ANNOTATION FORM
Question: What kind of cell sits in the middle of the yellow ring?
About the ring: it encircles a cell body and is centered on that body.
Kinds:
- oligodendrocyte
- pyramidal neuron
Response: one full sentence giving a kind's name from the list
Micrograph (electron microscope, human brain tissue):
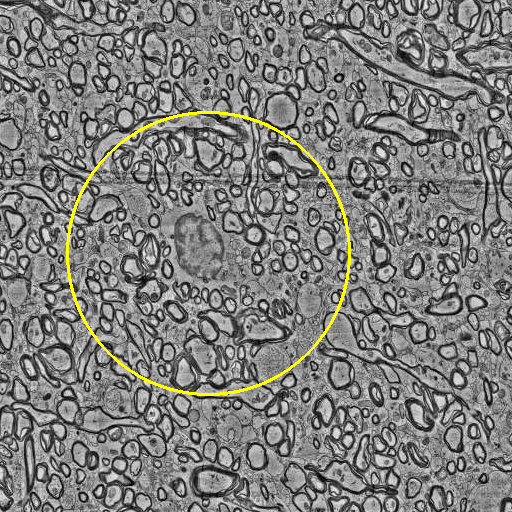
The kind of cell found at the center of the yellow ring in the micrograph is an oligodendrocyte.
